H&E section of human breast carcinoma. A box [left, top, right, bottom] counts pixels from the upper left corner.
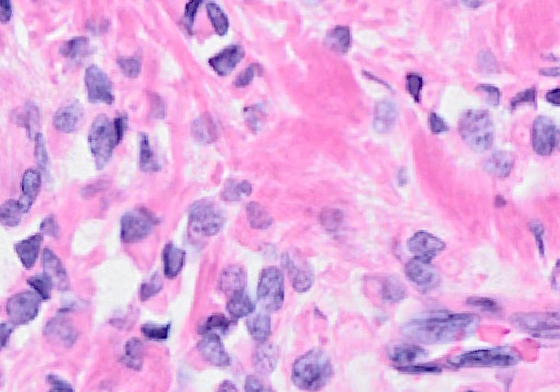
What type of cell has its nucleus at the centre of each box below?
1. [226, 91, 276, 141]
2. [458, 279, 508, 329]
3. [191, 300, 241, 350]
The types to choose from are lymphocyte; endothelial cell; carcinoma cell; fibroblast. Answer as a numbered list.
1. fibroblast
2. endothelial cell
3. carcinoma cell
